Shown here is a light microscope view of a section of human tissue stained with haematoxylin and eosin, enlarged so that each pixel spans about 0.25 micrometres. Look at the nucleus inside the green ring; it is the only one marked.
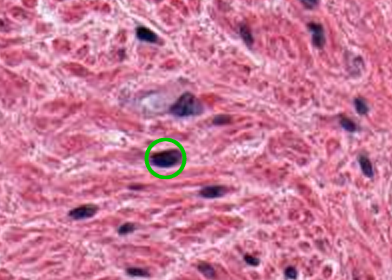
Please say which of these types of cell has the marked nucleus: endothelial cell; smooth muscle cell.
smooth muscle cell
